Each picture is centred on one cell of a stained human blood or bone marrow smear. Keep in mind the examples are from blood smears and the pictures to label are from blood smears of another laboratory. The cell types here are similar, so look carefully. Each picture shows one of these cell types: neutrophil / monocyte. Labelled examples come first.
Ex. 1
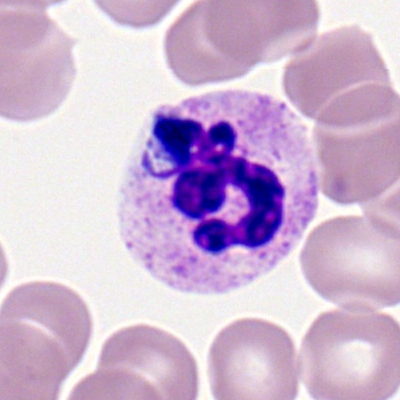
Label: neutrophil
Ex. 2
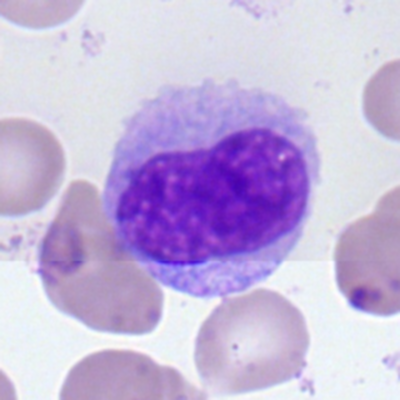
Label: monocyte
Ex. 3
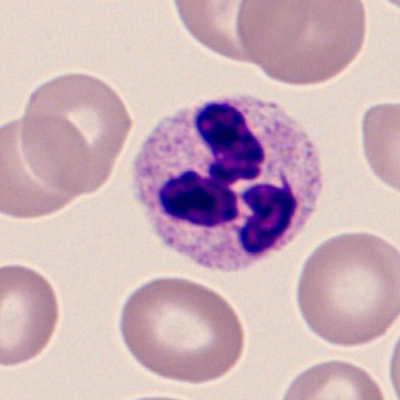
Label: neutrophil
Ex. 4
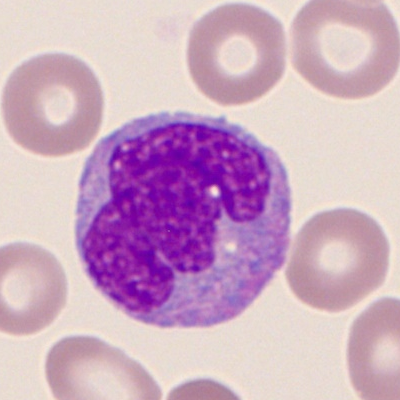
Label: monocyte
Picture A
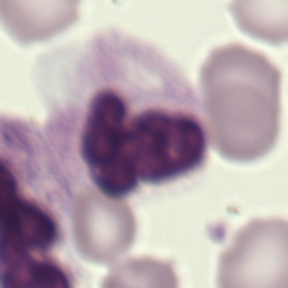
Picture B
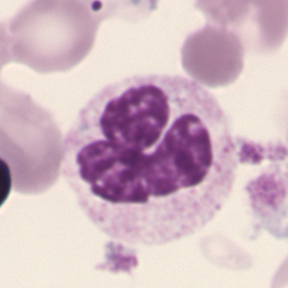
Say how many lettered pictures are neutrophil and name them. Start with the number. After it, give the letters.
2, namely A, B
